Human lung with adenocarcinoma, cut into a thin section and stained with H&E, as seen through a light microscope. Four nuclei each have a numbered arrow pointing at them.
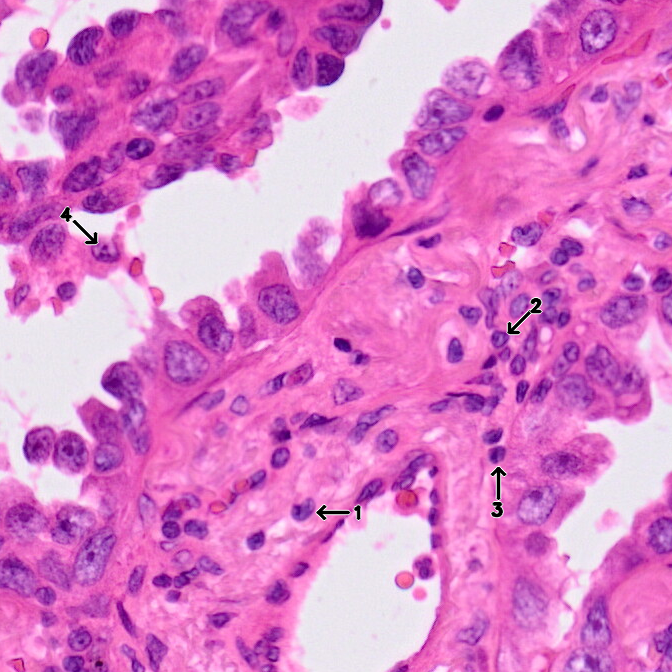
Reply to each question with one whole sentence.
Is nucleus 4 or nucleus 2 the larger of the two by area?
Of the two, number 4 is bigger and takes up about 2 times the area of number 2.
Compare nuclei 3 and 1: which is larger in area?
Nucleus 1 is larger, with an area about 1.5 times that of nucleus 3.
